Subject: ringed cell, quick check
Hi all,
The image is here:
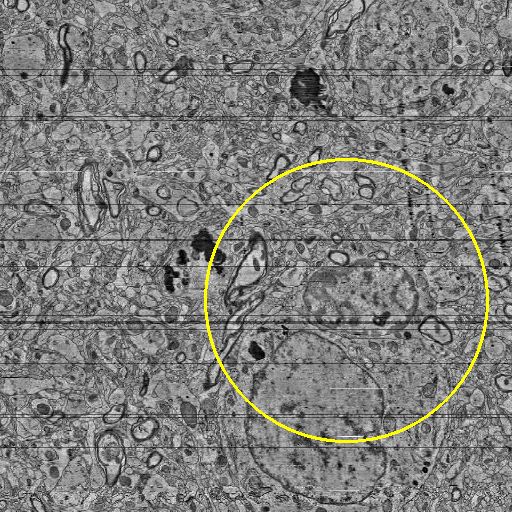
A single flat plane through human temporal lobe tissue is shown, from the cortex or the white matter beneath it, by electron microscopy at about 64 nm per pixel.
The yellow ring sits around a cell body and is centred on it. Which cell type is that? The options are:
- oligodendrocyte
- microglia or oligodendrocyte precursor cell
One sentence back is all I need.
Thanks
That ringed cell is an oligodendrocyte.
